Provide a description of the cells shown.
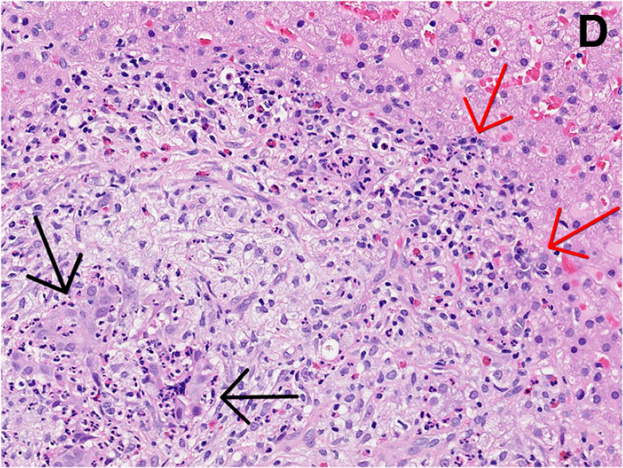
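A portal tract of liver with loose pale fibrous stroma is surrounded by pink hepatocytes, with blood-filled sinusoids at the top right. Bile duct epithelium within the stroma is disrupted and mixed with inflammatory cells, while dense small round inflammatory cells press into the hepatocytes along the portal border.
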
